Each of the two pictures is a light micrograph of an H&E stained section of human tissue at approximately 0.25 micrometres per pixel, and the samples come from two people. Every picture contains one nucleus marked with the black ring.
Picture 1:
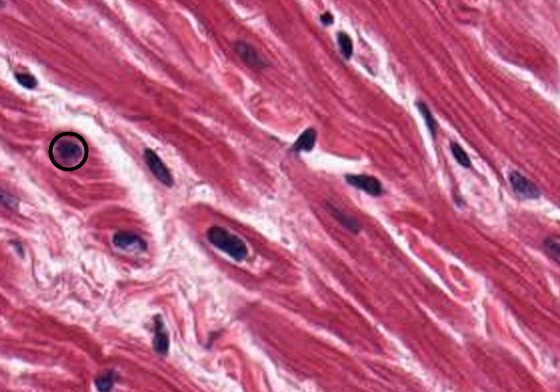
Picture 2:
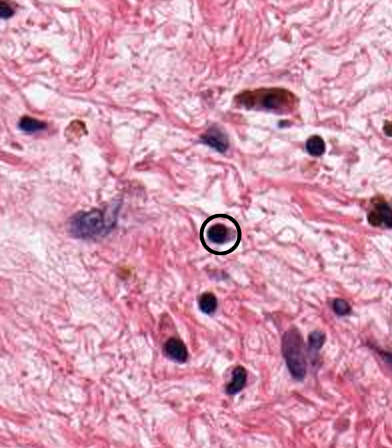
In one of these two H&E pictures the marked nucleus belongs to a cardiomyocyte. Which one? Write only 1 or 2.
1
